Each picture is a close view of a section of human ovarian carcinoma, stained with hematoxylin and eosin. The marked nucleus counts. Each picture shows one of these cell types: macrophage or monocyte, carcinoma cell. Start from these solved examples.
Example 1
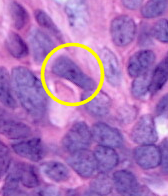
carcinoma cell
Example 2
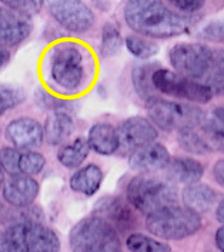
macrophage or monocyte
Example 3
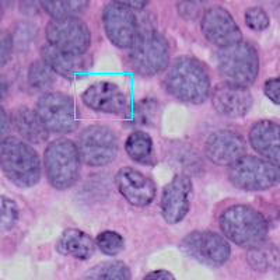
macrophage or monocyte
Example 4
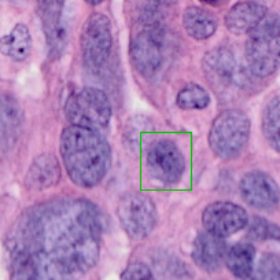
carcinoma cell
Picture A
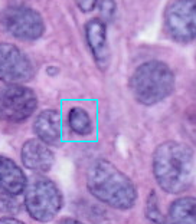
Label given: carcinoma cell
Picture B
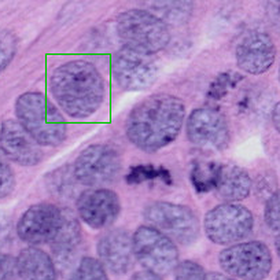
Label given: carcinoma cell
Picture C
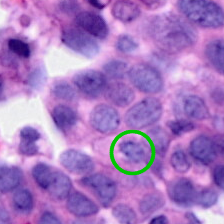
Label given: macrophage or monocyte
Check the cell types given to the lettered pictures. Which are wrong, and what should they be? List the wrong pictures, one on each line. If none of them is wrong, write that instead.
A: not carcinoma cell but macrophage or monocyte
